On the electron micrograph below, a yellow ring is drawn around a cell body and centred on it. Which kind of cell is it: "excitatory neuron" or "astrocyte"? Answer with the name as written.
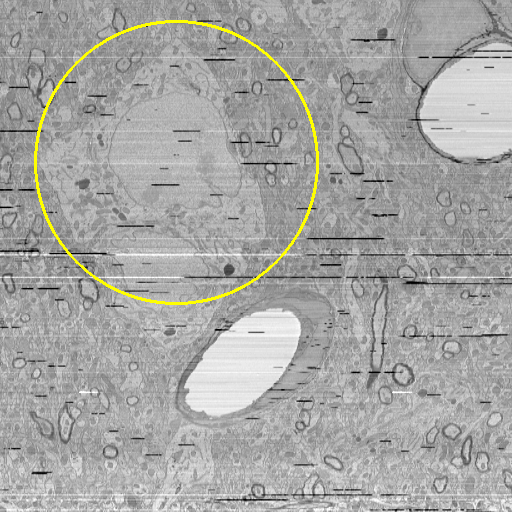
excitatory neuron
